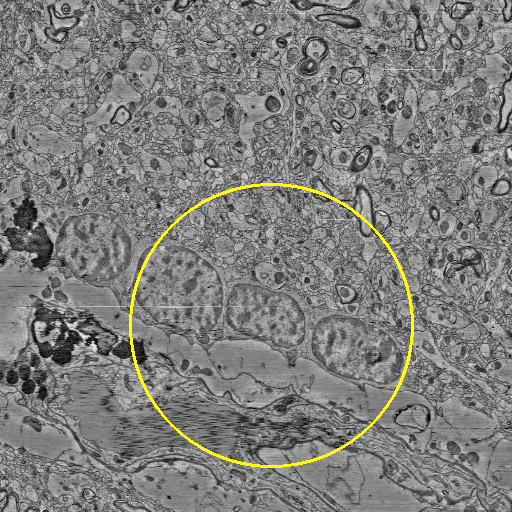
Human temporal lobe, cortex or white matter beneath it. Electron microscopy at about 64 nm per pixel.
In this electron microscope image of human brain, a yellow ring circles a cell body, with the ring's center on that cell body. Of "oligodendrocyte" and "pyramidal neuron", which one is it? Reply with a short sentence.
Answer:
It is an oligodendrocyte at the center of the ring.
